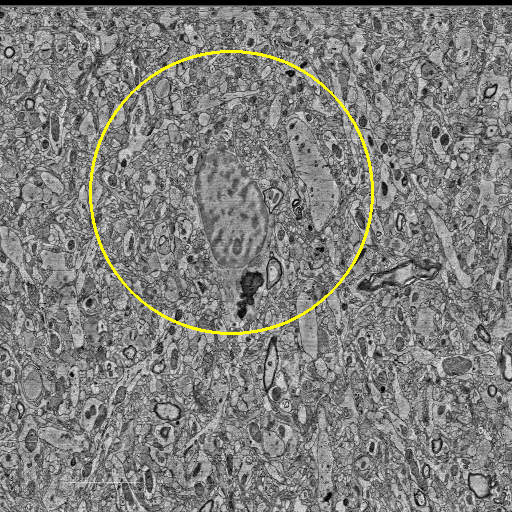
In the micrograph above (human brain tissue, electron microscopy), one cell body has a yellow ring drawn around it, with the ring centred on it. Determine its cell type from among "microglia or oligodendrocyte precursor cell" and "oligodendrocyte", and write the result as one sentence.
The cell whose body is ringed is an oligodendrocyte.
